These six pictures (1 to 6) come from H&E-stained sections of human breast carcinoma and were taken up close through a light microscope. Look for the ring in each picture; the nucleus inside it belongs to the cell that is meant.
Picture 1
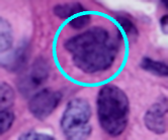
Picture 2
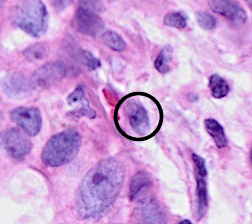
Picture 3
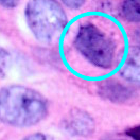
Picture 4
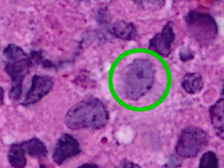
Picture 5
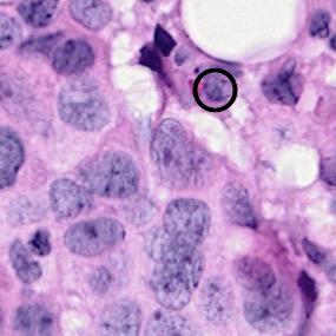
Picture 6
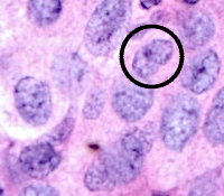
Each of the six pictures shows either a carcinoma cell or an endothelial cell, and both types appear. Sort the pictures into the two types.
1: carcinoma cell
2: endothelial cell
3: carcinoma cell
4: carcinoma cell
5: endothelial cell
6: carcinoma cell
